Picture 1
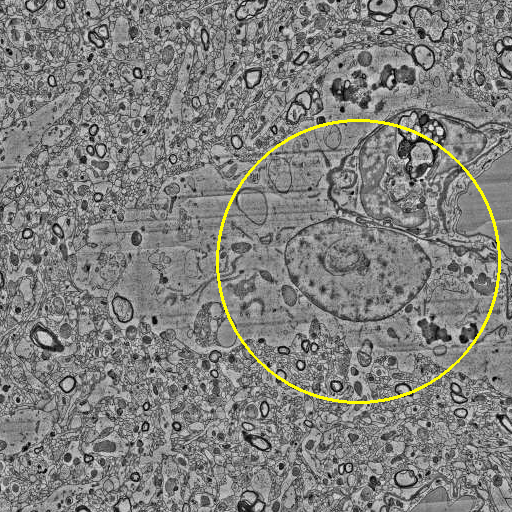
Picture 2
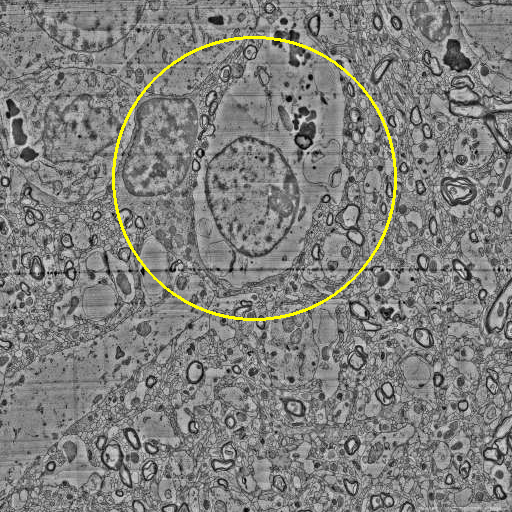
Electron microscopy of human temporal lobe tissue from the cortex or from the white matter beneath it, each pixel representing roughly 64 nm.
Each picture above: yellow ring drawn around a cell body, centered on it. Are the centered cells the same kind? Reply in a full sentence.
Yes, the two cells are the same kind.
